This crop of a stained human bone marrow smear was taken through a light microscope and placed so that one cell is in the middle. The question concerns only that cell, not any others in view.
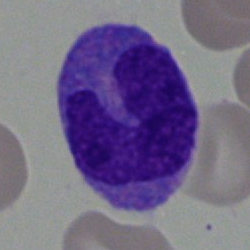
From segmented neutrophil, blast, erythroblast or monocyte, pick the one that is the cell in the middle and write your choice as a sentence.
Where the crop is centred, there is a monocyte.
